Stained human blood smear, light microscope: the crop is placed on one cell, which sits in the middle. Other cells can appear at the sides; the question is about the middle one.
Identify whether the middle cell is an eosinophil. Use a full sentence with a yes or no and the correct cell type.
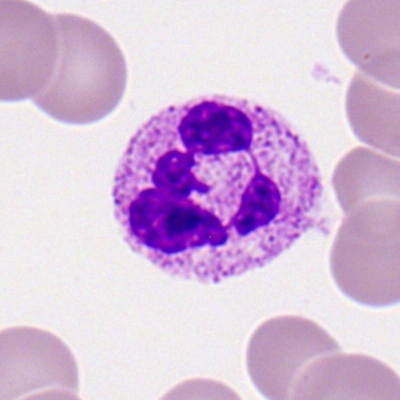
No, the cell in the middle of the field is a segmented neutrophil, not an eosinophil as suggested.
